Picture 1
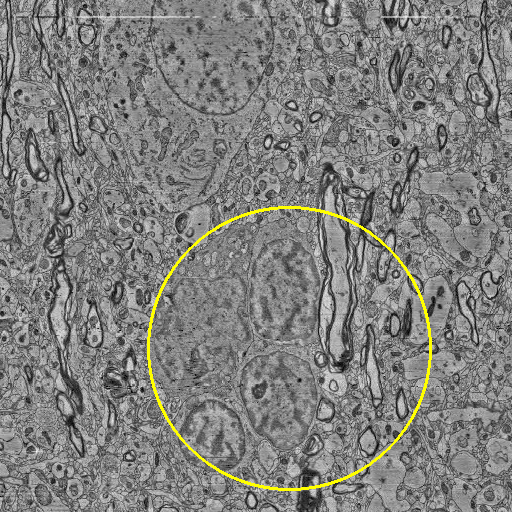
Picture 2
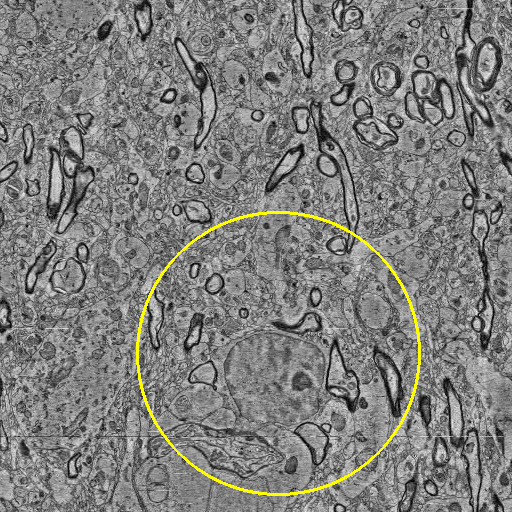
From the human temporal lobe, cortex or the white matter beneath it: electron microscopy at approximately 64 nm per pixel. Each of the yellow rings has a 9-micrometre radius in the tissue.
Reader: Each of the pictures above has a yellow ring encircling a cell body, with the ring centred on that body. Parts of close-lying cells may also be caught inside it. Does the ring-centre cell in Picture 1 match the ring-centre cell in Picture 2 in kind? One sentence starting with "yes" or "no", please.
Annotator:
Yes, Picture 1 and Picture 2 show ring-centre cells of a single kind.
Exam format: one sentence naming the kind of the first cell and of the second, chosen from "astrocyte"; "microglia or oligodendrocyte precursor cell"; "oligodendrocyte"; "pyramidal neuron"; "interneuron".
The second cell is an oligodendrocyte, just as the first is.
